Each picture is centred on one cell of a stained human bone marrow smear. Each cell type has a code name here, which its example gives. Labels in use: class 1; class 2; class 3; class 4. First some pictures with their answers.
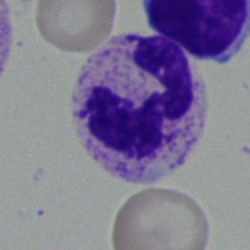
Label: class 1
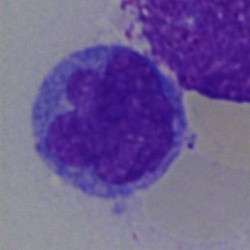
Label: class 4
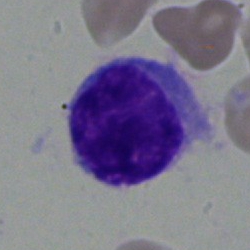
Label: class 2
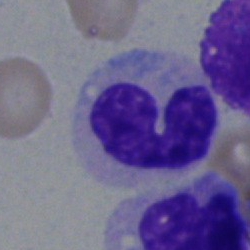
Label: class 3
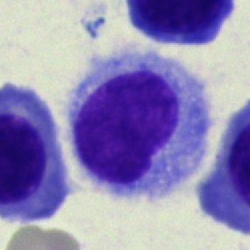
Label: class 2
